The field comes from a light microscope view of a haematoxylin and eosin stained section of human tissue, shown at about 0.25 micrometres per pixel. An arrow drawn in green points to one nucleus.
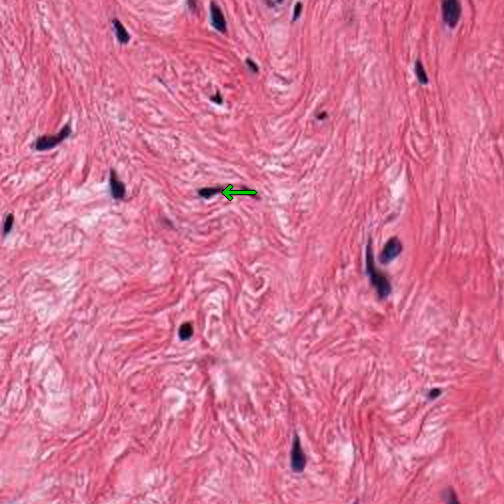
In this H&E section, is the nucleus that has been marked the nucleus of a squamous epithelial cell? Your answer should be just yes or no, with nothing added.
no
